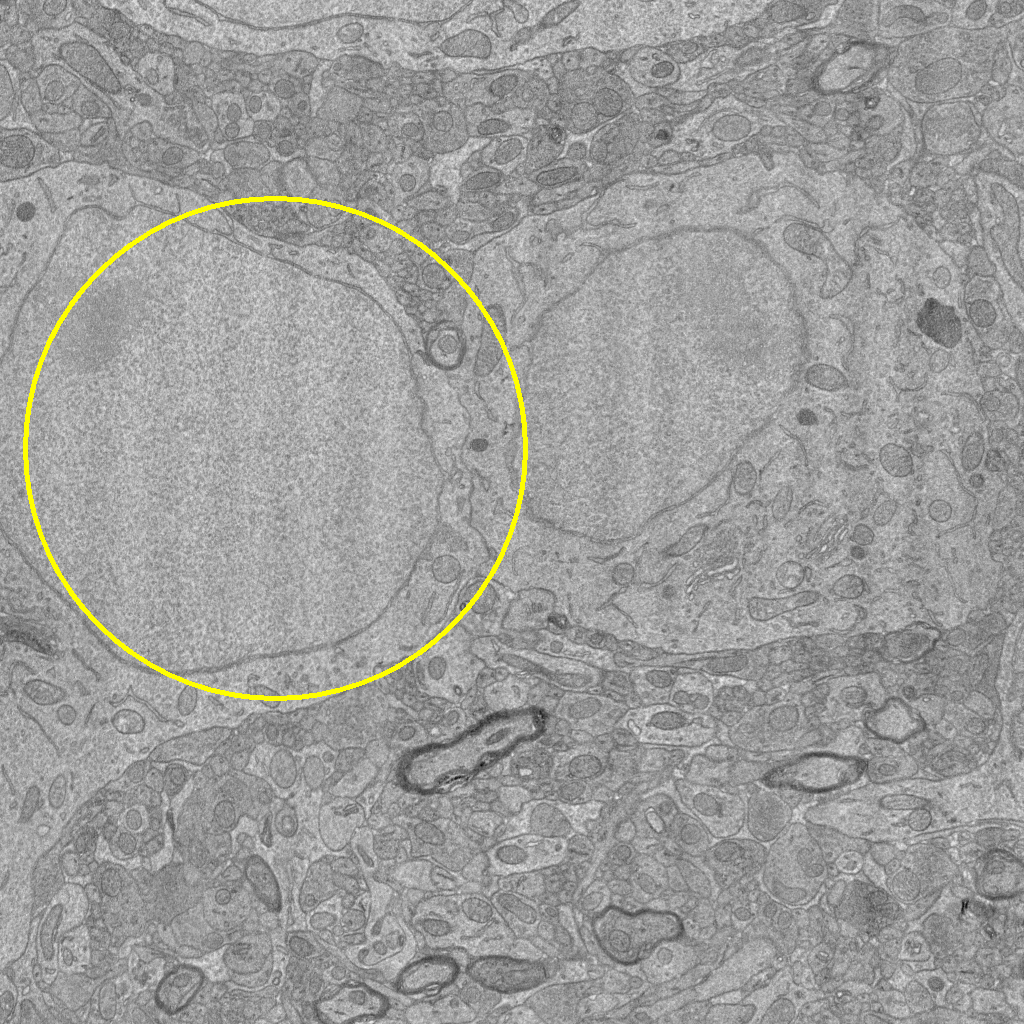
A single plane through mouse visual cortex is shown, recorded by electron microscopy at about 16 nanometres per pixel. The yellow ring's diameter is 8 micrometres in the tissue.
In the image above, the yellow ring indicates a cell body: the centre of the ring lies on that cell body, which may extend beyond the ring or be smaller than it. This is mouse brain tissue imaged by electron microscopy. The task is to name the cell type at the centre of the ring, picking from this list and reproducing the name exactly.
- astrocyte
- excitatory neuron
excitatory neuron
